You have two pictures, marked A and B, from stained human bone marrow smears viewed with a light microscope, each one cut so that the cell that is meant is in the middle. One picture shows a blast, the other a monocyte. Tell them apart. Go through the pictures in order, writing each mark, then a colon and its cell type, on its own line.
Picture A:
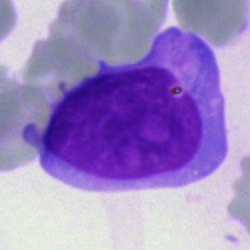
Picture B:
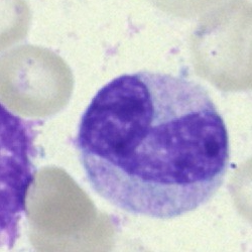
A: blast
B: monocyte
